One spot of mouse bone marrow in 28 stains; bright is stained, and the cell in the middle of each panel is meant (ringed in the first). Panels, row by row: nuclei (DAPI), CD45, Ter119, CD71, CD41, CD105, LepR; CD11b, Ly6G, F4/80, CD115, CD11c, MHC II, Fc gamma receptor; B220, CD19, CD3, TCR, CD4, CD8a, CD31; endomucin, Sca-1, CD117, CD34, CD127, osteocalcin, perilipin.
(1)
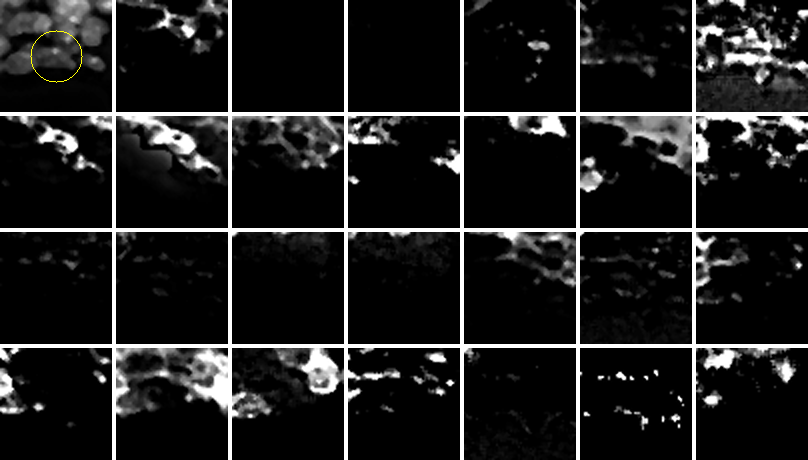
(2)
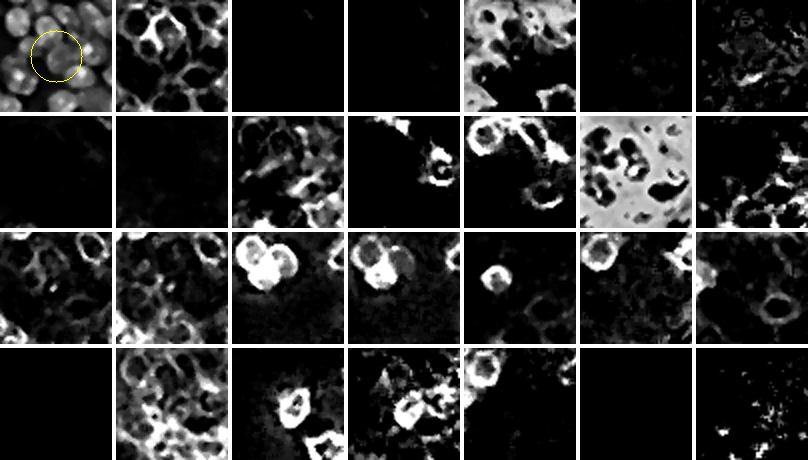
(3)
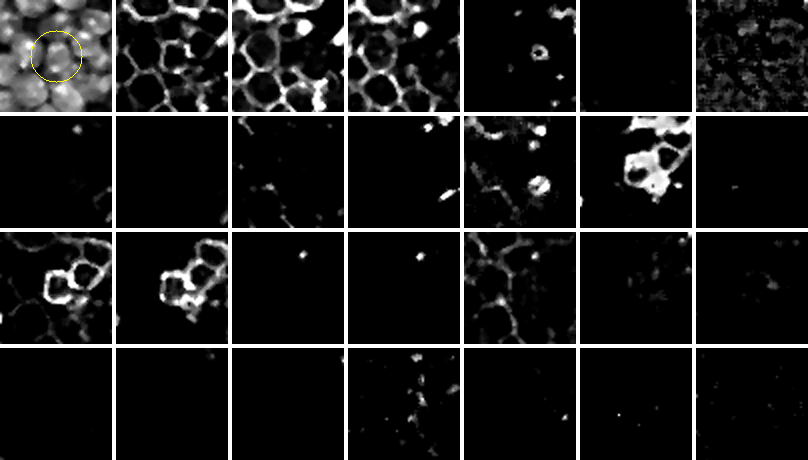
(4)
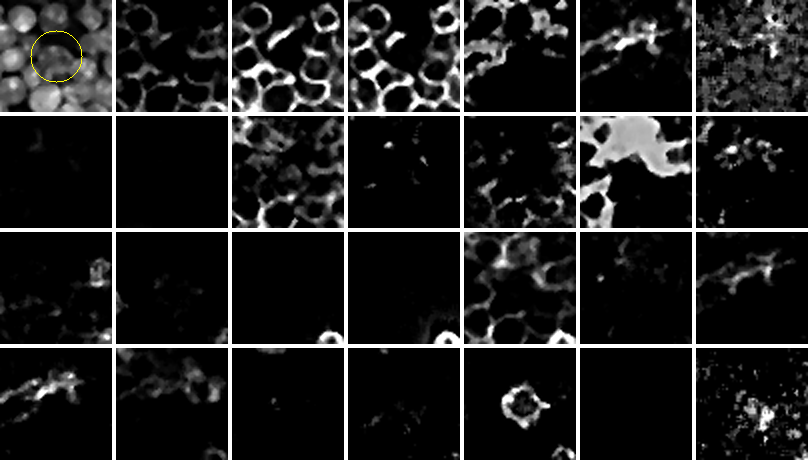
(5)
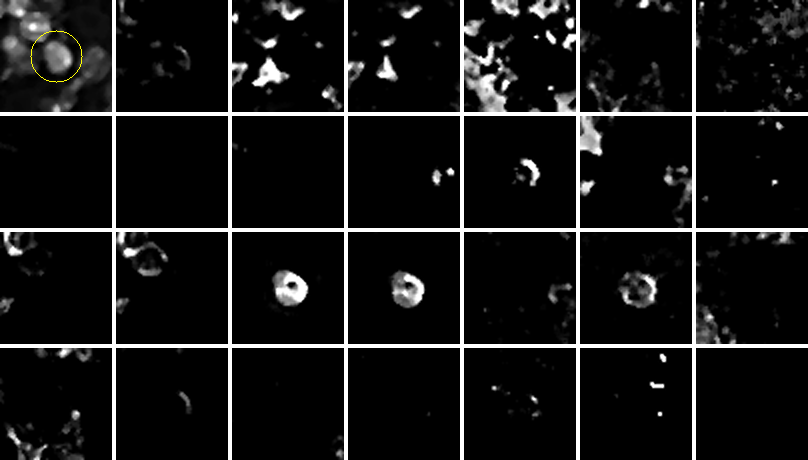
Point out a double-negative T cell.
That is picture 5.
